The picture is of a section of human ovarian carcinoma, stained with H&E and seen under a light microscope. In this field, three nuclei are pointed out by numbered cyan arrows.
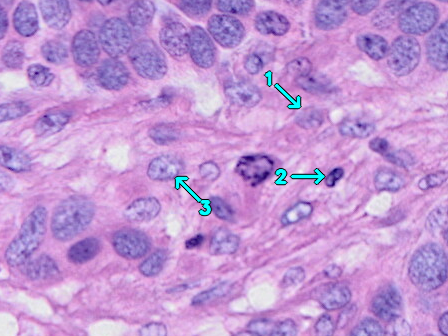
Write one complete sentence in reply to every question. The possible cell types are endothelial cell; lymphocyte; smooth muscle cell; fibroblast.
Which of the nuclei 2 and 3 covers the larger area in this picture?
At about 2.5 times the area of nucleus 2, nucleus 3 is the larger of the two.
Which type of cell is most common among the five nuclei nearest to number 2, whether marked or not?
Around number 2, most of the five nearest nuclei are those of fibroblasts.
